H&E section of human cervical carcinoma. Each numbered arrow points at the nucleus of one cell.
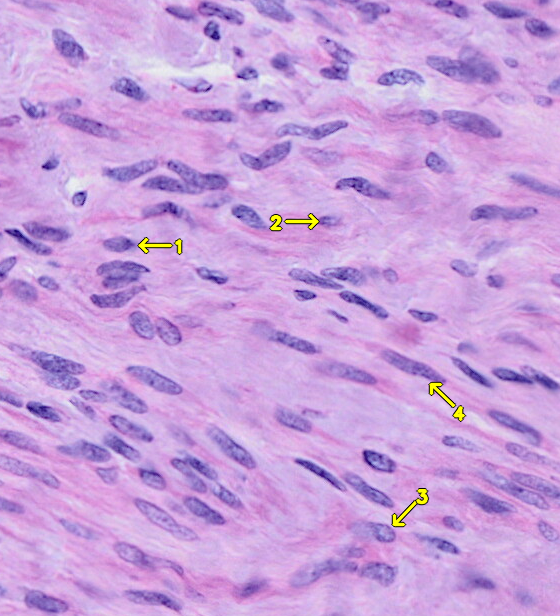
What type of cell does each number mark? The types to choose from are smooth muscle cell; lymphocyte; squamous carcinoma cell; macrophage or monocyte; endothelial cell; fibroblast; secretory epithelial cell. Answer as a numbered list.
1. fibroblast
2. smooth muscle cell
3. smooth muscle cell
4. smooth muscle cell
